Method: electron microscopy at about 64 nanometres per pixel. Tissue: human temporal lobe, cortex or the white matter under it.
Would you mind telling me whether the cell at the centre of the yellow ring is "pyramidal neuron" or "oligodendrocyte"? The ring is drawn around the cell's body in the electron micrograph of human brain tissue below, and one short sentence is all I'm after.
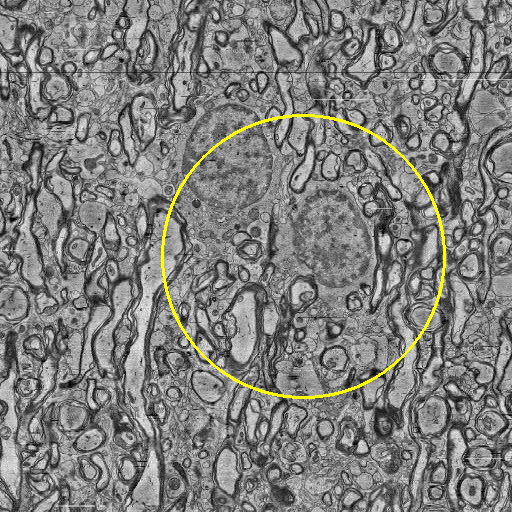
In the centre of the ring lies an oligodendrocyte.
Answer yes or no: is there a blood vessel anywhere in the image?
No, the picture includes no blood vessel.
